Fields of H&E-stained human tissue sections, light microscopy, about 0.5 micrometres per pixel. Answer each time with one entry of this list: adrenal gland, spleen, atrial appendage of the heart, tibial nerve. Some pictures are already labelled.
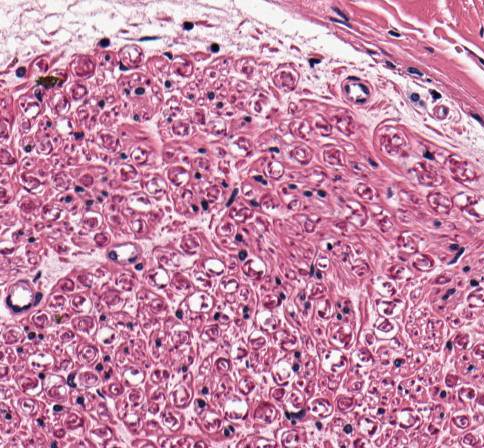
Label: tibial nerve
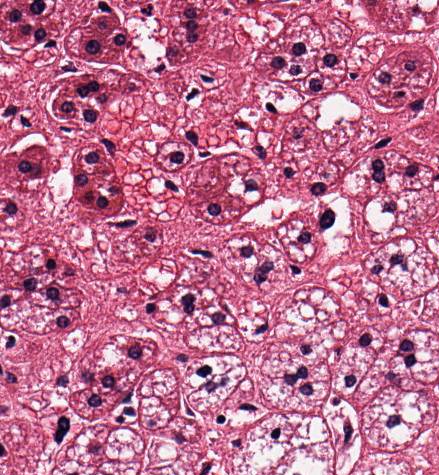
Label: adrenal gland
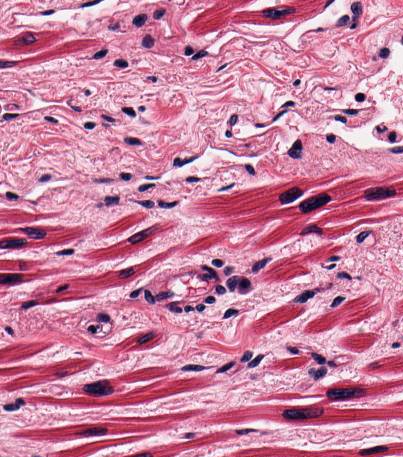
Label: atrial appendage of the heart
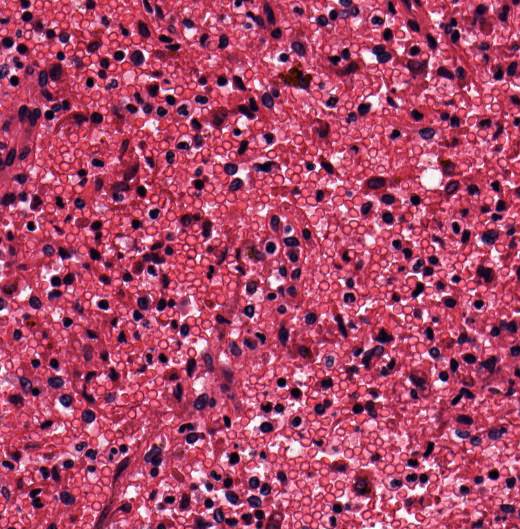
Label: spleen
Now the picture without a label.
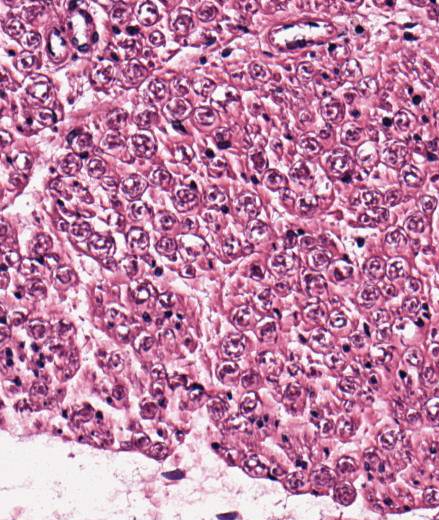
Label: tibial nerve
